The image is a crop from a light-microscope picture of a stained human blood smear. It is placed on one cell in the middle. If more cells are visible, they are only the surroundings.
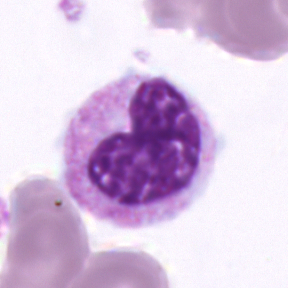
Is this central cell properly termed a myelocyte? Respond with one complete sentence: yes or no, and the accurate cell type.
No, the cell under consideration is a metamyelocyte instead of a myelocyte.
